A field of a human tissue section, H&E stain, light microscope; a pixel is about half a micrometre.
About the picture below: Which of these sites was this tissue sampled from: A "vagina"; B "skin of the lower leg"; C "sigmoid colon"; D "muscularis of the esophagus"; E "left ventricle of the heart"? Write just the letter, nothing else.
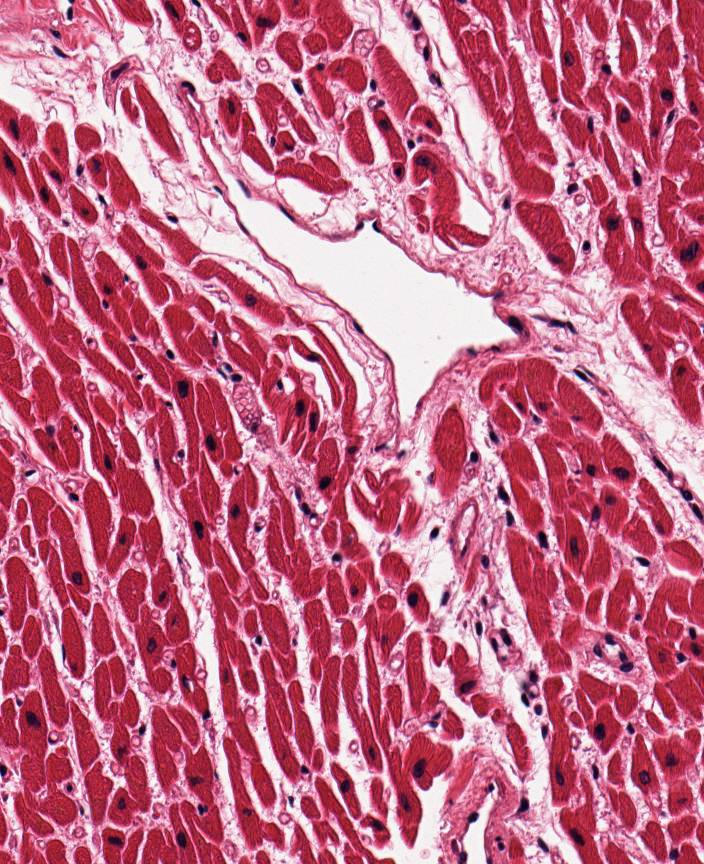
E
